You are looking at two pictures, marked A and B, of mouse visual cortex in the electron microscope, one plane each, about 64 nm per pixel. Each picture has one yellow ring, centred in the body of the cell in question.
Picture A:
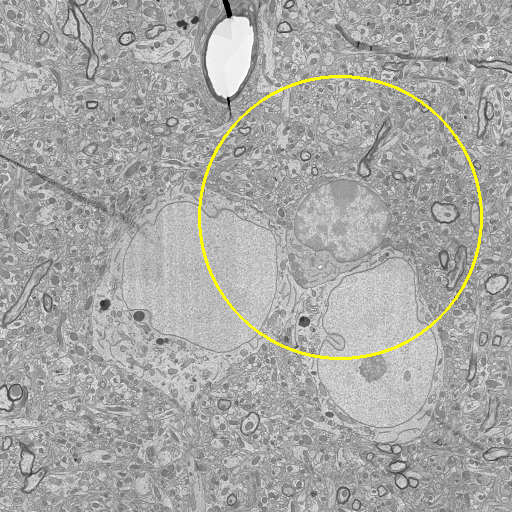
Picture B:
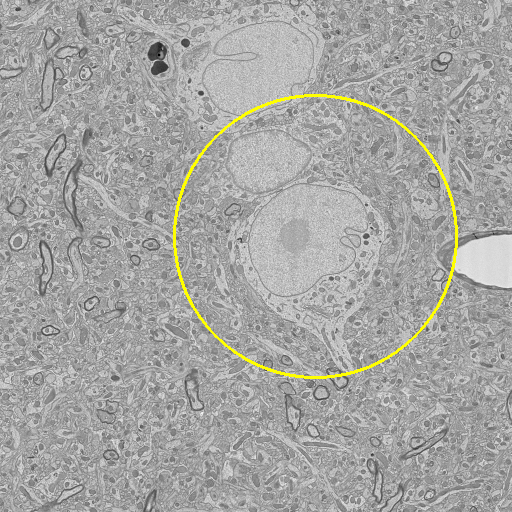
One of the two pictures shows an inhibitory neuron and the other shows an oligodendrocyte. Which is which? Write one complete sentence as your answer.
Picture B shows an inhibitory neuron, while picture A shows an oligodendrocyte.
